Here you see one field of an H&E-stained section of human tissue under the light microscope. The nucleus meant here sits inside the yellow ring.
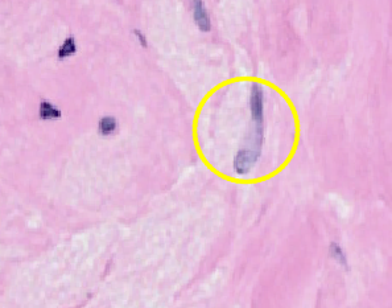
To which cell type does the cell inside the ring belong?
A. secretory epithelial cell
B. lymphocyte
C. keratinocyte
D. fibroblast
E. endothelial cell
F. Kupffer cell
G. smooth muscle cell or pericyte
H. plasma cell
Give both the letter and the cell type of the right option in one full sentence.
In this case the cell inside the ring is a fibroblast, so option D is correct.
